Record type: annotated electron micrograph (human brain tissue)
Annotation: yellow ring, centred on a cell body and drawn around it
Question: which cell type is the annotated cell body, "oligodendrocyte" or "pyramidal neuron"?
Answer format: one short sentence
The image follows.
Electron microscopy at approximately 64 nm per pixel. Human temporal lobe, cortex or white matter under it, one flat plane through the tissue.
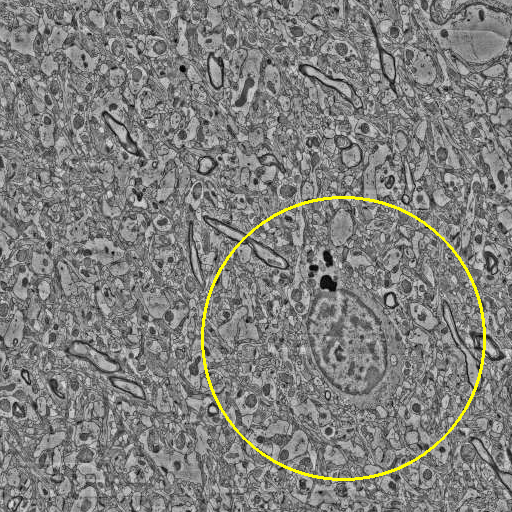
The annotated cell body is that of an oligodendrocyte.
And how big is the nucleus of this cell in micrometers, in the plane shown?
In this plane the nucleus is clearly longer than it is wide, at approximately 7 by 5 micrometres.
